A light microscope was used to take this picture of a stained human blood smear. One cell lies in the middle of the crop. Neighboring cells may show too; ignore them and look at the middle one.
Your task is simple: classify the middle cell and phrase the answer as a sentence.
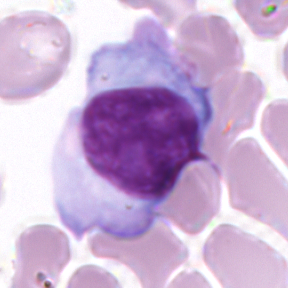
Whatever else lies nearby, the middle cell is a plasma cell.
